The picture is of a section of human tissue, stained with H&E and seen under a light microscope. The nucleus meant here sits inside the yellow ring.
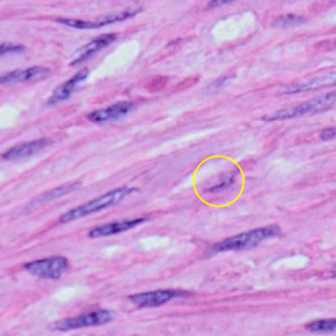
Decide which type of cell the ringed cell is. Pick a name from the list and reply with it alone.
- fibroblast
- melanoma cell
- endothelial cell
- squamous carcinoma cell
fibroblast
